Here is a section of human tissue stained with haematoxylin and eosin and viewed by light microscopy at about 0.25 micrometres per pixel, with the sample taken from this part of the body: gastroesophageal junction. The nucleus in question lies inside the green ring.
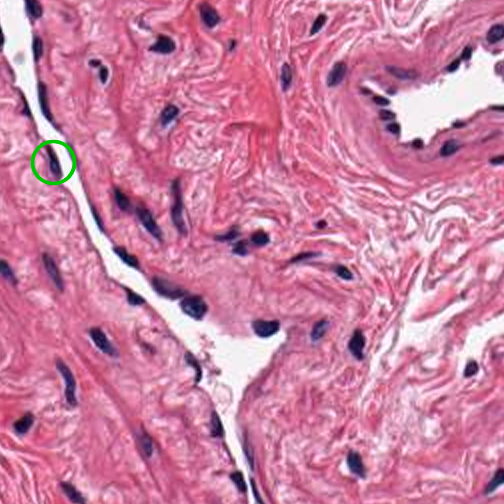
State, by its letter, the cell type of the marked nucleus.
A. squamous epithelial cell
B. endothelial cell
B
